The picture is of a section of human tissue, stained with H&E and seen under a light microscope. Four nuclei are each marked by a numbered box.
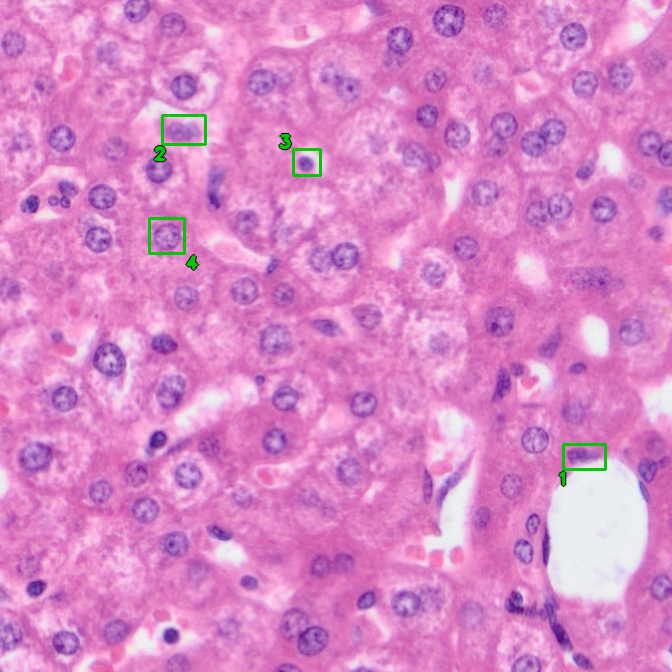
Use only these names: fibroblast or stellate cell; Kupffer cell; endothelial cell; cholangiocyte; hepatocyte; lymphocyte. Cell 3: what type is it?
lymphocyte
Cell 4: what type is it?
hepatocyte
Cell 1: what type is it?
fibroblast or stellate cell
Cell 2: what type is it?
Kupffer cell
